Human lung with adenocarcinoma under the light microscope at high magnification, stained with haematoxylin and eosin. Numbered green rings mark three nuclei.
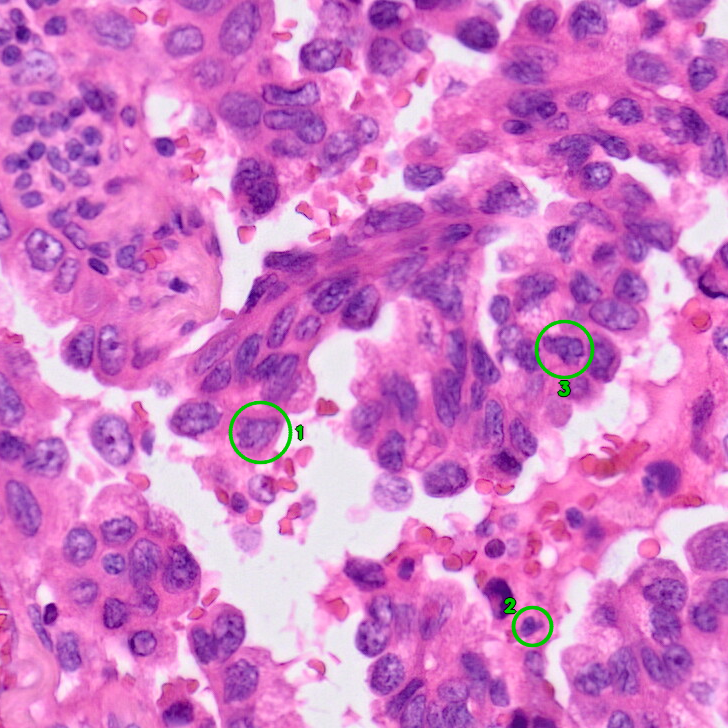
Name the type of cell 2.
lymphocyte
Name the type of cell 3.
carcinoma cell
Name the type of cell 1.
carcinoma cell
